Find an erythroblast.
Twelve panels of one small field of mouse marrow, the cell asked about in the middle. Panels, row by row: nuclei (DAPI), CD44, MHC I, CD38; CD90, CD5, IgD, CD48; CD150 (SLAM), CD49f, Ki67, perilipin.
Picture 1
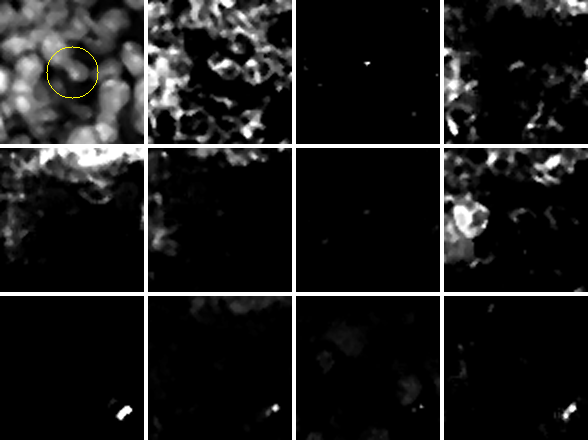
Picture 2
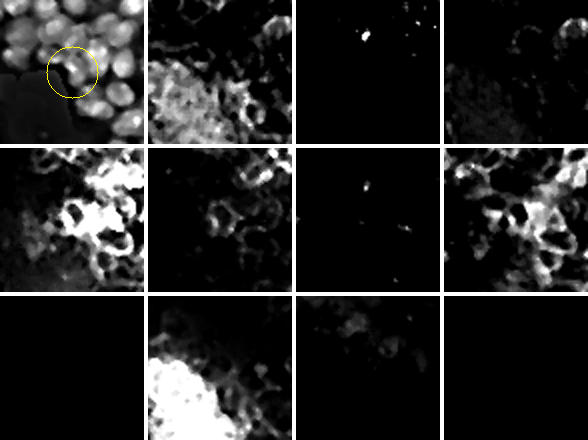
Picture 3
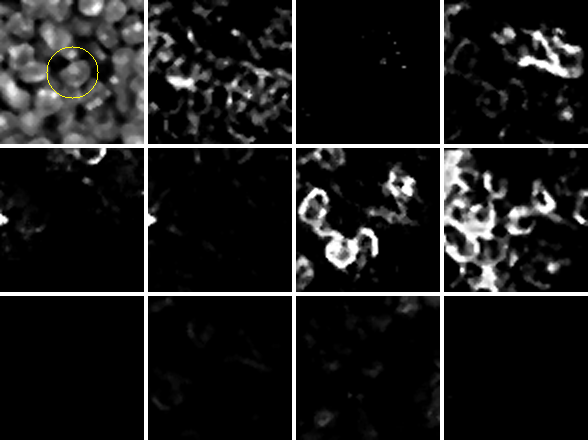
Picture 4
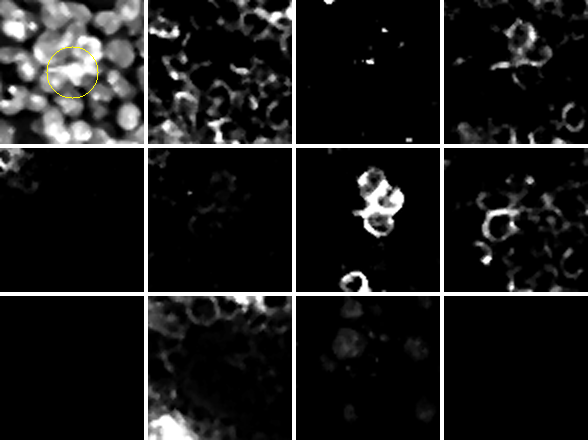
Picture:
1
